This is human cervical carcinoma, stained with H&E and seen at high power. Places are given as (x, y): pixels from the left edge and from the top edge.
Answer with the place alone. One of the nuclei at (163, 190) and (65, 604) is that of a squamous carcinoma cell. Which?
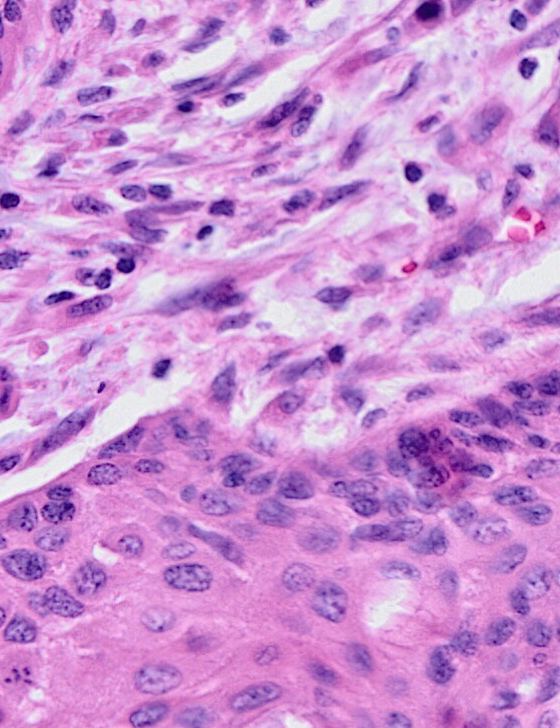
(65, 604)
